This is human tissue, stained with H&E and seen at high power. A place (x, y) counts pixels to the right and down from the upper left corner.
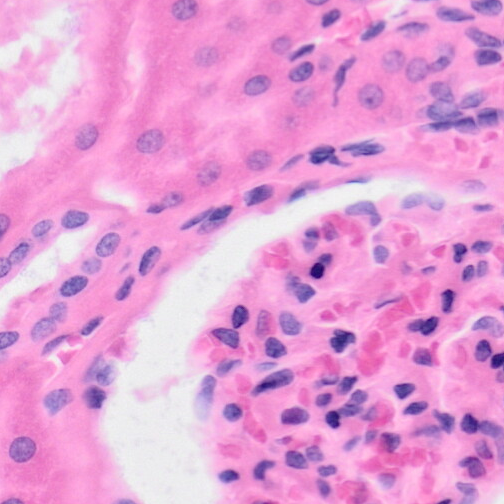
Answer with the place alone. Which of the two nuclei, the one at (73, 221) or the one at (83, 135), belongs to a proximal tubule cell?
(83, 135)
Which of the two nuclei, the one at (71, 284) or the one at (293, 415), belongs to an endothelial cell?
(293, 415)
